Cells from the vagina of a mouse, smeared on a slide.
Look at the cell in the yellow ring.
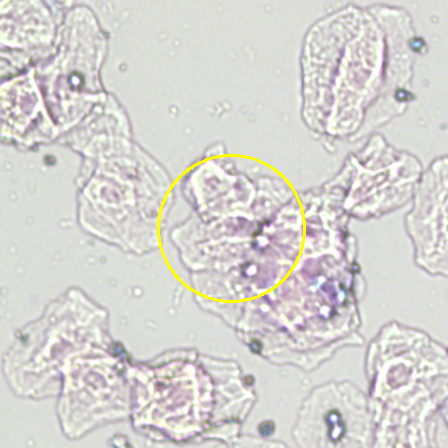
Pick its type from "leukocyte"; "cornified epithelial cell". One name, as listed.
cornified epithelial cell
